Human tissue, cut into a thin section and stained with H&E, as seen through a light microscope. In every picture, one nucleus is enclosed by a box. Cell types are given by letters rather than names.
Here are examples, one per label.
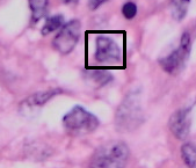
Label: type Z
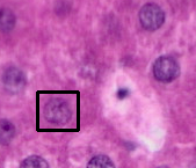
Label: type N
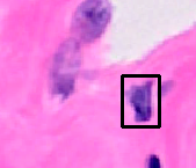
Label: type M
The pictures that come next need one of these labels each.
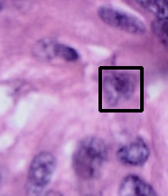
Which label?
type Z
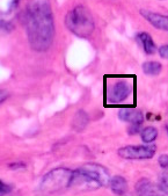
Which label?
type M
